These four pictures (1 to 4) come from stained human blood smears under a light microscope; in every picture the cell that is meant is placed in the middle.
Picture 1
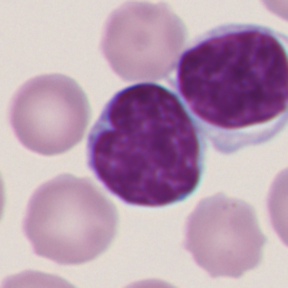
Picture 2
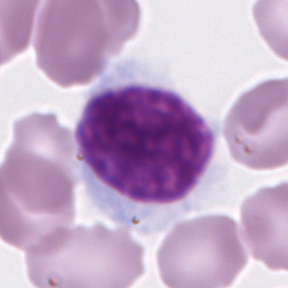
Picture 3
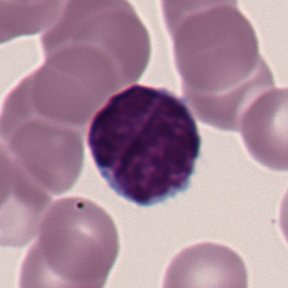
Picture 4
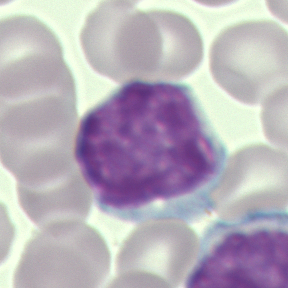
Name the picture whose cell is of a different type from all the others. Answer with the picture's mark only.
2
